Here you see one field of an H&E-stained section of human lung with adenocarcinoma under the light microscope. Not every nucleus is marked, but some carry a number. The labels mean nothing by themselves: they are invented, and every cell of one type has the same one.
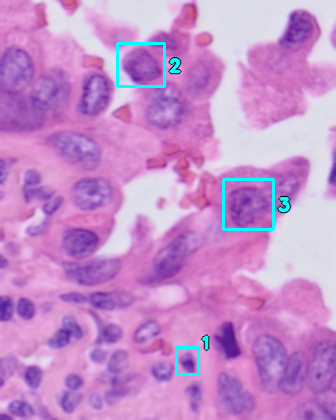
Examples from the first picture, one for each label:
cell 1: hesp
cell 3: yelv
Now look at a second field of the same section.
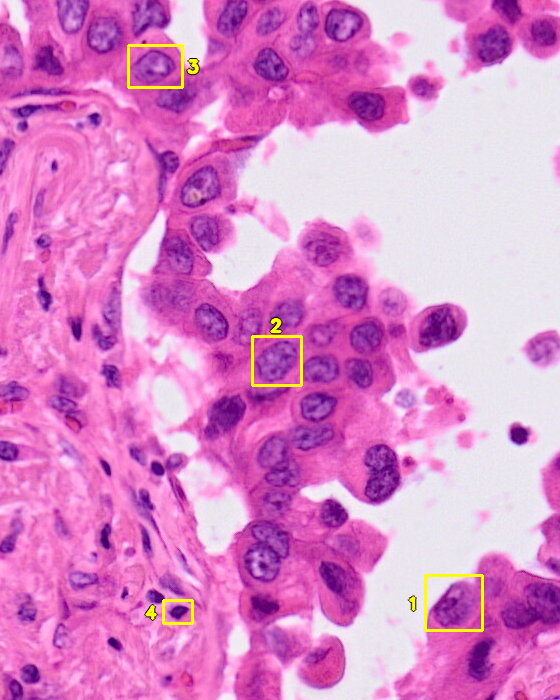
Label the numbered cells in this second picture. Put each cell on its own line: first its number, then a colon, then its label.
1: yelv
2: yelv
3: yelv
4: hesp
